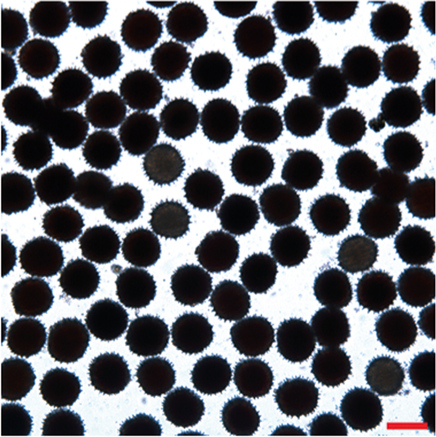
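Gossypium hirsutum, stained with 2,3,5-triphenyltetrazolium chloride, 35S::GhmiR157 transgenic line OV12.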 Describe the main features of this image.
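Loose spread of cotton pollen grains, brightfield. Grains are spherical, of fairly uniform size, lying singly or touching at their edges, with no cellular contents resolved. The outer wall bears a regular fringe of short, pointed spines visible at each grain's margin. Most grains are stained uniformly dark red-brown to nearly black and opaque. A few grains scattered among them are pale grey and translucent, with the spiny outline still visible, and stand out clearly against their dark neighbours.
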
